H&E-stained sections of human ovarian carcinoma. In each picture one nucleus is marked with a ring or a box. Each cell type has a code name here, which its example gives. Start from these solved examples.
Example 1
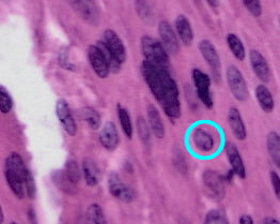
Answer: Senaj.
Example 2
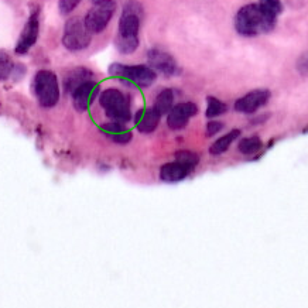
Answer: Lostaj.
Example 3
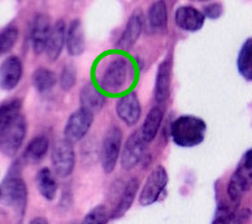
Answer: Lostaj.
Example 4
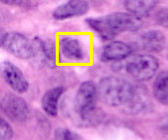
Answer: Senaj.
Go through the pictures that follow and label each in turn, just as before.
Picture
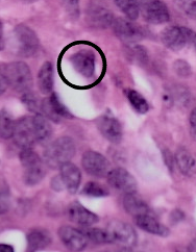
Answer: Senaj.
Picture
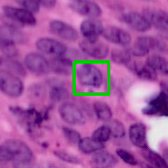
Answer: Senaj.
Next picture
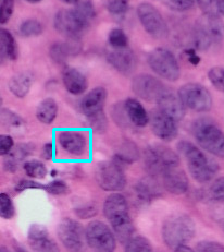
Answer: Senaj.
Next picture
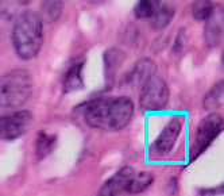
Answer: Lostaj.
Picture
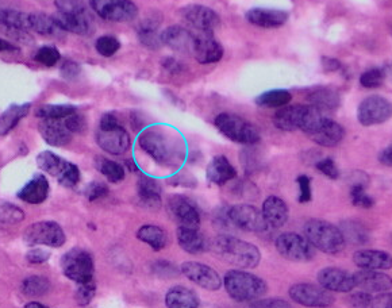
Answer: Lostaj.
